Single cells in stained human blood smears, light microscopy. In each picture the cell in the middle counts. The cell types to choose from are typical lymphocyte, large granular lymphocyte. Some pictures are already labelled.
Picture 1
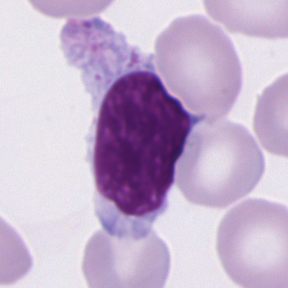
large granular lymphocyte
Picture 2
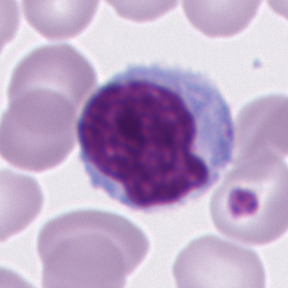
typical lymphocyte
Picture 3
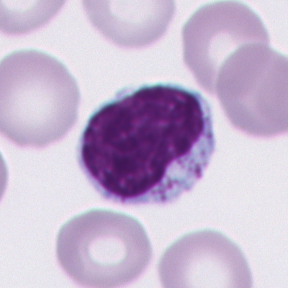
large granular lymphocyte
